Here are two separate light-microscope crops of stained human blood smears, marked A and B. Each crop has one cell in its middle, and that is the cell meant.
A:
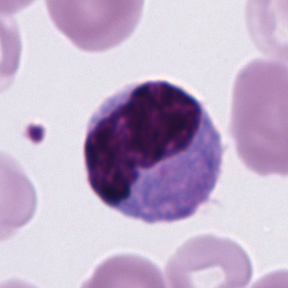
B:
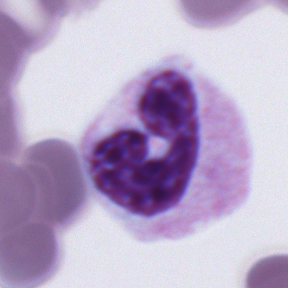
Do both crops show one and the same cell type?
no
